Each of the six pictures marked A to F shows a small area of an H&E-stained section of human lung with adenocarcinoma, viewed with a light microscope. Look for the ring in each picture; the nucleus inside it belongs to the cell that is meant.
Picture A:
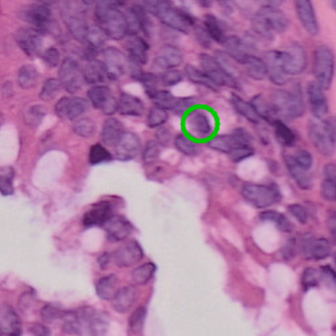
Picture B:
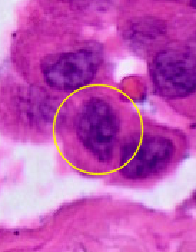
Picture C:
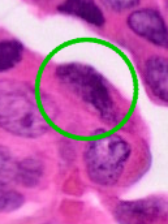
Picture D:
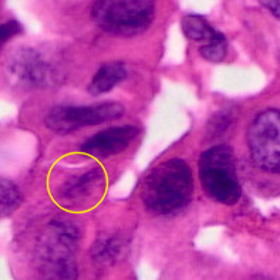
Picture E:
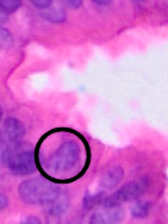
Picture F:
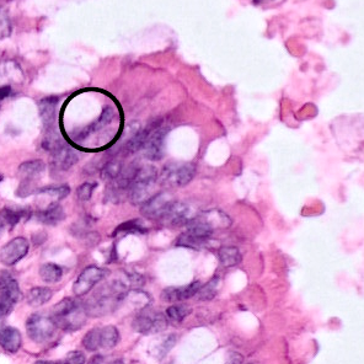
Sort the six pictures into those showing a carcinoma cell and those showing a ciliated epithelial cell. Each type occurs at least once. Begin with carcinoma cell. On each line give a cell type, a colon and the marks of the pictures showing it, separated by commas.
carcinoma cell: B, C, D
ciliated epithelial cell: A, E, F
